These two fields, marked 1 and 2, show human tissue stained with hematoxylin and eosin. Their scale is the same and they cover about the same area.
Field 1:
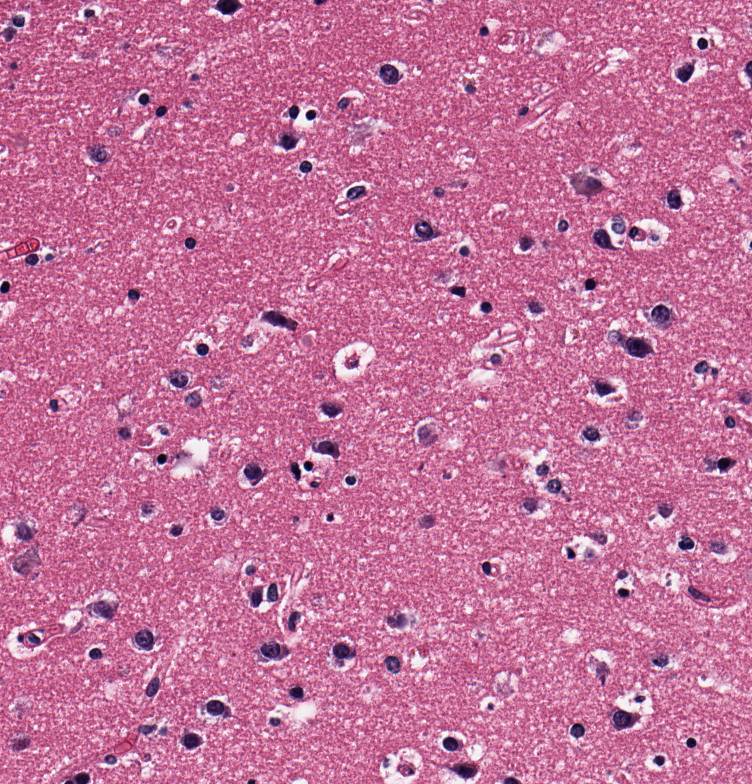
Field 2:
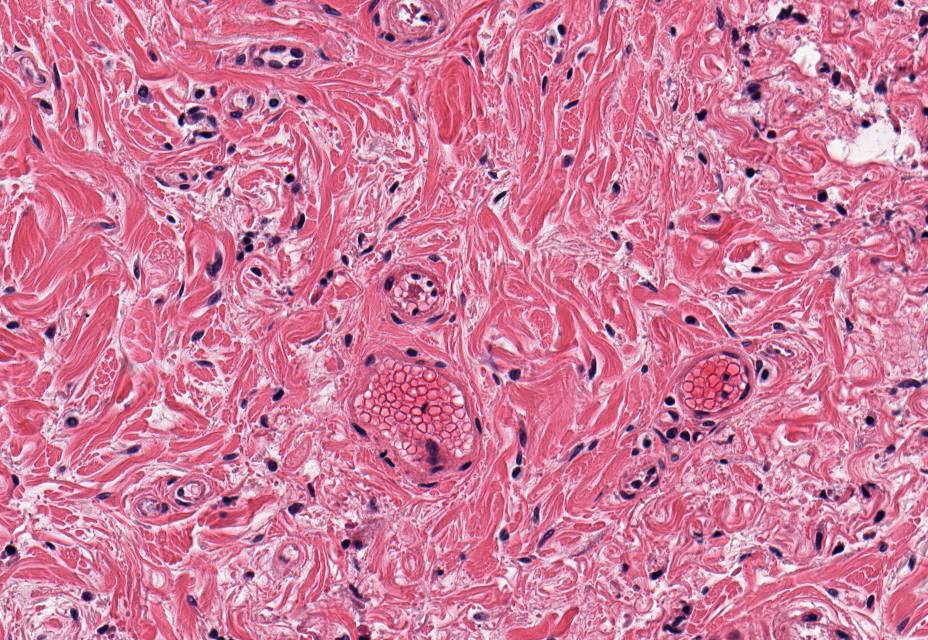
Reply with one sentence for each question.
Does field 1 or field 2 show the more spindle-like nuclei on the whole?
It is field 2 whose nuclei are the more elongated.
